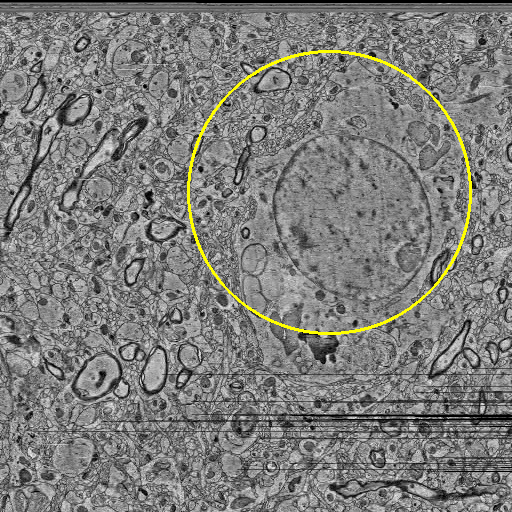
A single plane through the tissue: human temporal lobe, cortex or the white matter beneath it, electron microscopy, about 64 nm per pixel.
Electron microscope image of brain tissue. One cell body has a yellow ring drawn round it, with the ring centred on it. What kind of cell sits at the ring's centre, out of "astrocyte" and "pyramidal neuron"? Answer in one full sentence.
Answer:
It is an astrocyte whose cell body sits at the centre of the yellow ring.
